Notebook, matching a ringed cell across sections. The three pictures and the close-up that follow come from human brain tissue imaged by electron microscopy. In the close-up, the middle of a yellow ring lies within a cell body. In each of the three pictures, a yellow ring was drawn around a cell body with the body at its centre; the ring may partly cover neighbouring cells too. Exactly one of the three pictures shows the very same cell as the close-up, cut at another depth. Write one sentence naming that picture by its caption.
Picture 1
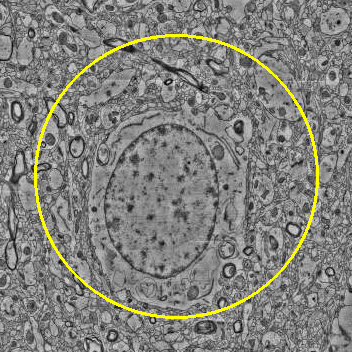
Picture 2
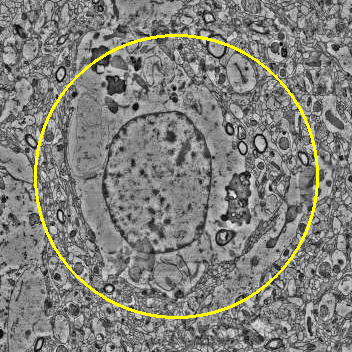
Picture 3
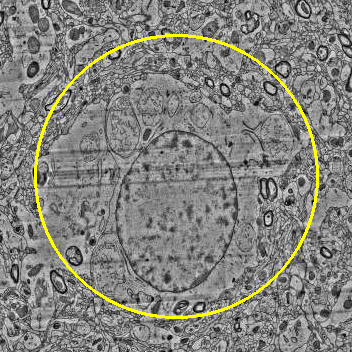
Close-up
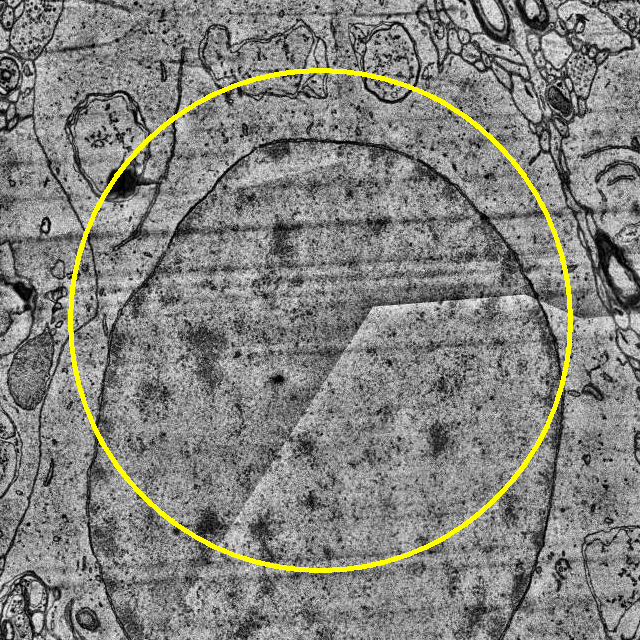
The cell chosen for the close-up is marked in Picture 3.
